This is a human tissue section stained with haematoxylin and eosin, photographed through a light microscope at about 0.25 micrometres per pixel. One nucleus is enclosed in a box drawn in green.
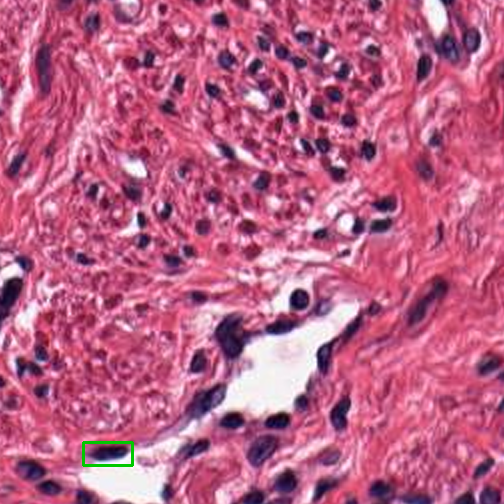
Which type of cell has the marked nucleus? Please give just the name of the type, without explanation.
endothelial cell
